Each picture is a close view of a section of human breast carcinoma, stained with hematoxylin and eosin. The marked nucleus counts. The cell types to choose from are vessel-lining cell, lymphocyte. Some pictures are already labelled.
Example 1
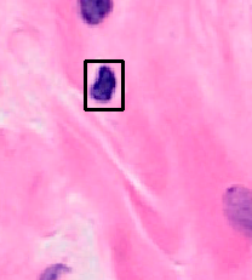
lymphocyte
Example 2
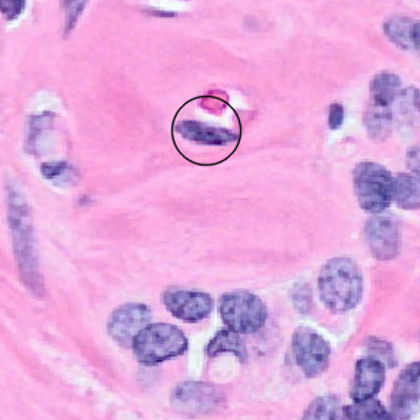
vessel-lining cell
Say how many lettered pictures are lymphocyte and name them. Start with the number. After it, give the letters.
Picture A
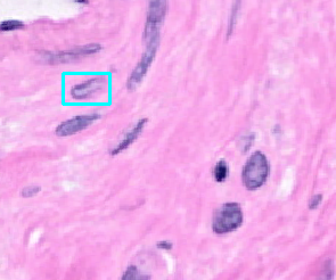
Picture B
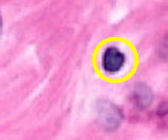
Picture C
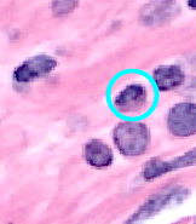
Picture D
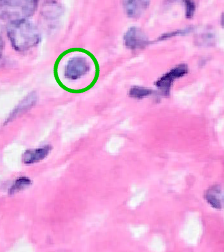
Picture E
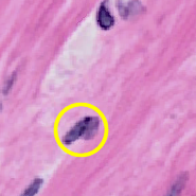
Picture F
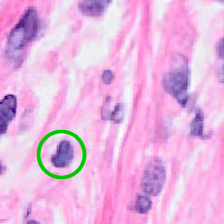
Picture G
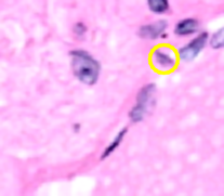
5, namely B, C, D, E, F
